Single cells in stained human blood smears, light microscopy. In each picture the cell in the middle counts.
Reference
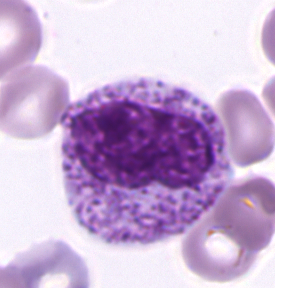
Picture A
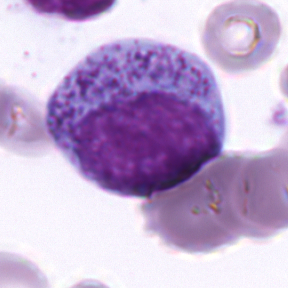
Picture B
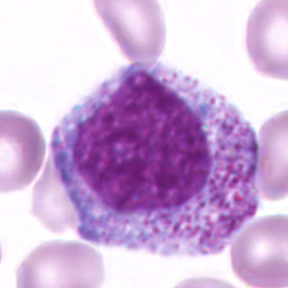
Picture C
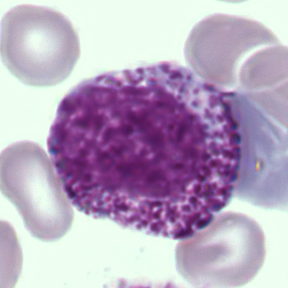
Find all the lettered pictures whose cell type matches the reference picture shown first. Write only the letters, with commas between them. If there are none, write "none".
none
